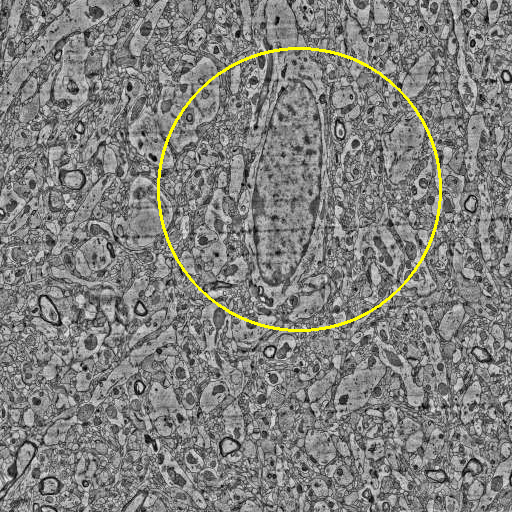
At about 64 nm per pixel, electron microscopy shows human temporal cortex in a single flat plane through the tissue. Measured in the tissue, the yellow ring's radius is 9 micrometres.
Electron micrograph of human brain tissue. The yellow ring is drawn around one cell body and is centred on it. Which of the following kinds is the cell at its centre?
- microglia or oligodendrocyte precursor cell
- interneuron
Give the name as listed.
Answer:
microglia or oligodendrocyte precursor cell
